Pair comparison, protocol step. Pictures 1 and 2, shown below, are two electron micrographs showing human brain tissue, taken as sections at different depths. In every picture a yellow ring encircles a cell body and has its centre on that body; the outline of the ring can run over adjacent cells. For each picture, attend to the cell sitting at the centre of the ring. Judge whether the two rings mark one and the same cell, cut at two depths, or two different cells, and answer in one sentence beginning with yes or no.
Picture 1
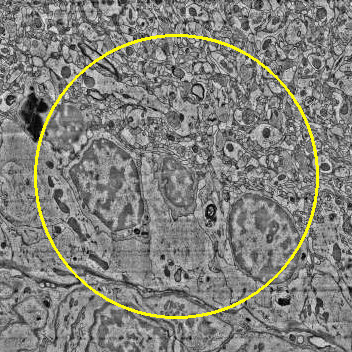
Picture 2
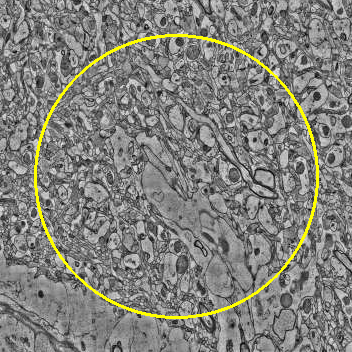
No, the cells within these rings are two separate cells.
